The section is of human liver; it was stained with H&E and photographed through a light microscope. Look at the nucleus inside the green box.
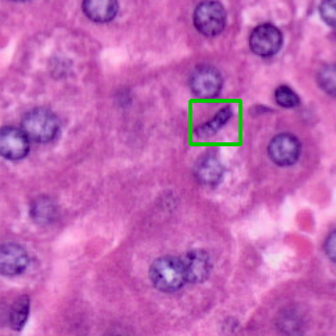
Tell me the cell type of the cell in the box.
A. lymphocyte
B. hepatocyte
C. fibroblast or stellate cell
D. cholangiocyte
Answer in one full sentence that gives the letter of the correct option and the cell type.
Option C stands as correct, with the cell in the box being a fibroblast or stellate cell.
